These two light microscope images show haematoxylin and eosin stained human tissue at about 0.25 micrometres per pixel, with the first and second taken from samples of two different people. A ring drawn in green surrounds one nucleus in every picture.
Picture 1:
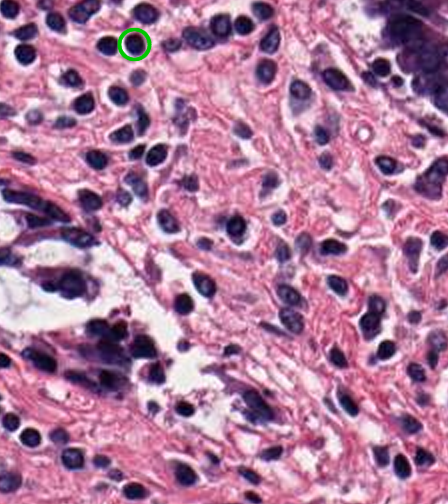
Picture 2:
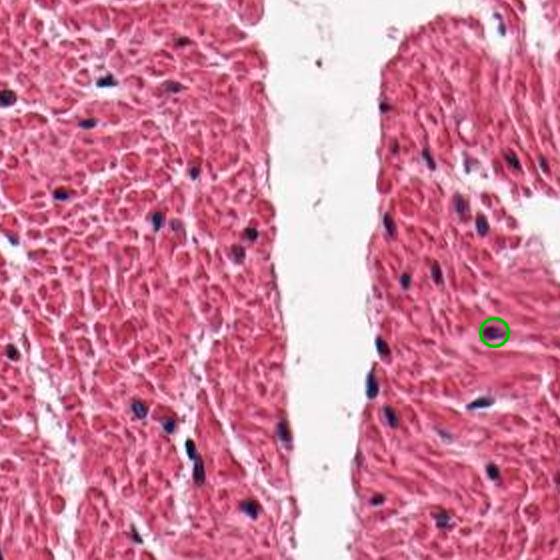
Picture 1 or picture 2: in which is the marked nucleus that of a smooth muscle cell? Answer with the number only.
2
